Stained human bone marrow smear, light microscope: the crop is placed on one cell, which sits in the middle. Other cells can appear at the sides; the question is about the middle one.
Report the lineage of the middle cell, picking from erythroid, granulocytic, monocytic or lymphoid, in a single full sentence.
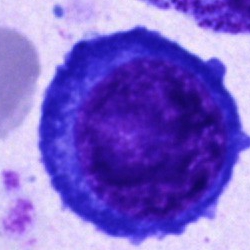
As for the cell in the middle, its lineage is erythroid.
